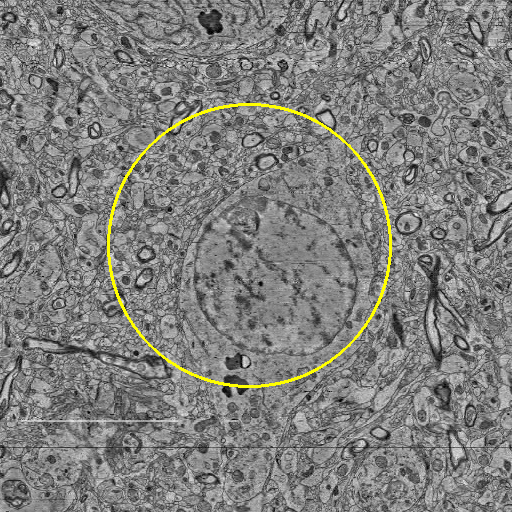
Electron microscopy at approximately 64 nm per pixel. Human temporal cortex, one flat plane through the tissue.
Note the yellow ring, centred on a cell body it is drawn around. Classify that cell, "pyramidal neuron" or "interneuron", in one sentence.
The cell the ring is centred on is an interneuron.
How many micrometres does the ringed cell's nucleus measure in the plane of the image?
In this plane, the nucleus of the cell at the centre of the ring is about 11 micrometres across.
